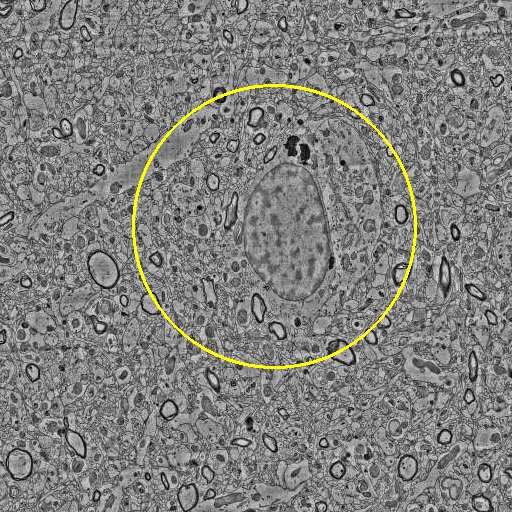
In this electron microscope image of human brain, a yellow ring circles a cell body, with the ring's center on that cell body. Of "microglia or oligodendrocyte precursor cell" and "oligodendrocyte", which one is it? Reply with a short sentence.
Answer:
It is an oligodendrocyte at the center of the ring.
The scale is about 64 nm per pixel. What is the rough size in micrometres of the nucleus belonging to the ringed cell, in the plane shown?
Roughly 9 by 6 micrometers, clearly longer than it is wide in this plane.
